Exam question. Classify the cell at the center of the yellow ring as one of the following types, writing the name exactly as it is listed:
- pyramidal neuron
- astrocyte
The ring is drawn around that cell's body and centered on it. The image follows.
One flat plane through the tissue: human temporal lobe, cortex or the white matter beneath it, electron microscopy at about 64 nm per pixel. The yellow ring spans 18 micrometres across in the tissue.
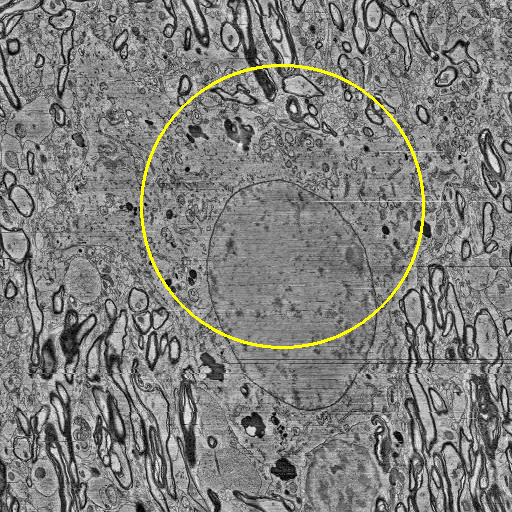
pyramidal neuron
